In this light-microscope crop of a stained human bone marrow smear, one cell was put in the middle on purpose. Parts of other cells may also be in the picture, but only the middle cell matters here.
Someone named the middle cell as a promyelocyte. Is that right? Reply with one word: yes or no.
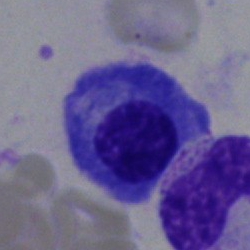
no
